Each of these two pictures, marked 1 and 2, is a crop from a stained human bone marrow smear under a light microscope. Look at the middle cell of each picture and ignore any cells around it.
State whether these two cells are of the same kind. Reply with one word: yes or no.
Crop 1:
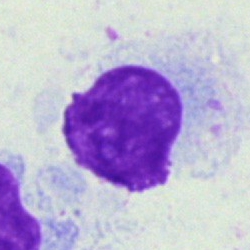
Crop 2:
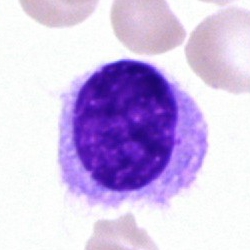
yes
